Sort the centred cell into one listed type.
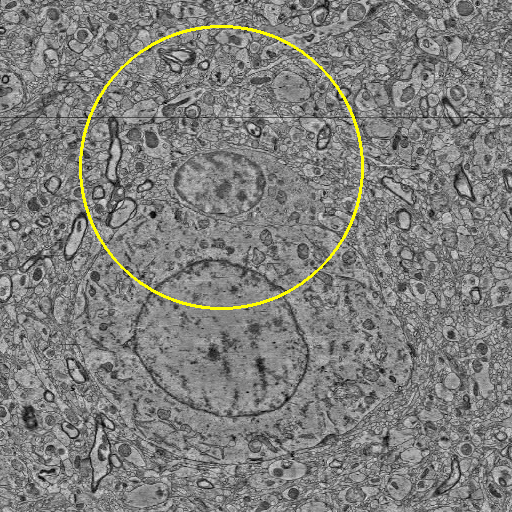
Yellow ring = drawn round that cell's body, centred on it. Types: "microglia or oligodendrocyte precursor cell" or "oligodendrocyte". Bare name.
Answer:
oligodendrocyte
